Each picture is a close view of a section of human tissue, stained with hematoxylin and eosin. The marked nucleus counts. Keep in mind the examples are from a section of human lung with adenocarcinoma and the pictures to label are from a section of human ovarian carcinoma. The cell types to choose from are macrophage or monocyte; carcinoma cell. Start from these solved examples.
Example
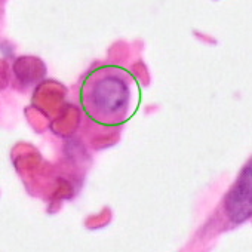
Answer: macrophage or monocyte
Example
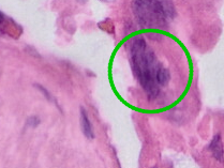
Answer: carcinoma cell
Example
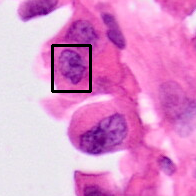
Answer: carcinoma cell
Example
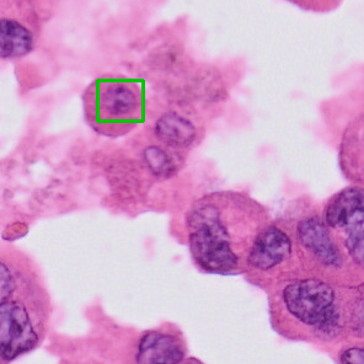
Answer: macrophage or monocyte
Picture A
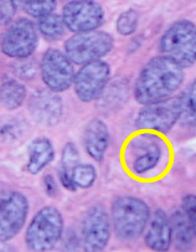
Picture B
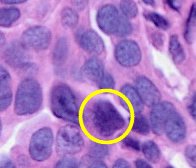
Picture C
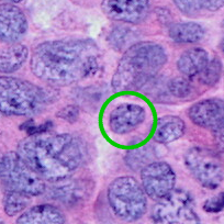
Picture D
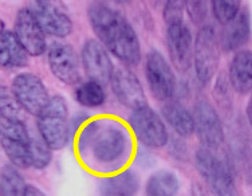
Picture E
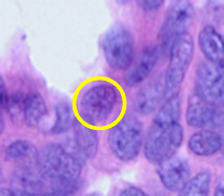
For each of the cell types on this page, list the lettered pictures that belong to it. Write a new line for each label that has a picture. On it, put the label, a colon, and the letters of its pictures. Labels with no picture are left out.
macrophage or monocyte: A, C
carcinoma cell: B, D, E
